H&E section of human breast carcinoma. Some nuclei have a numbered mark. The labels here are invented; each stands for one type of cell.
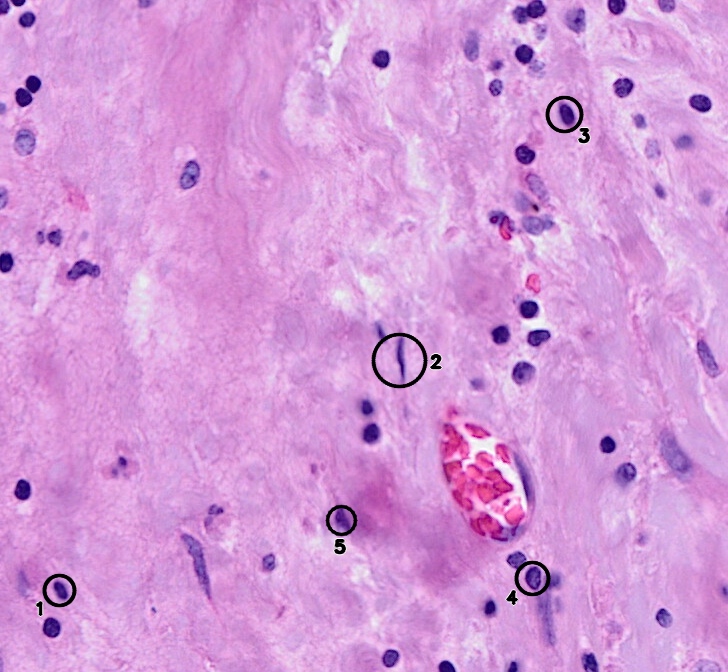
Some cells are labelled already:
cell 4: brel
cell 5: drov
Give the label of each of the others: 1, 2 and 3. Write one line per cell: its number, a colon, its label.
1: brel
2: drov
3: brel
